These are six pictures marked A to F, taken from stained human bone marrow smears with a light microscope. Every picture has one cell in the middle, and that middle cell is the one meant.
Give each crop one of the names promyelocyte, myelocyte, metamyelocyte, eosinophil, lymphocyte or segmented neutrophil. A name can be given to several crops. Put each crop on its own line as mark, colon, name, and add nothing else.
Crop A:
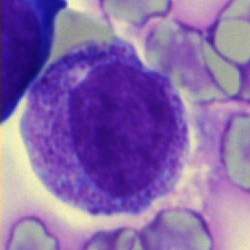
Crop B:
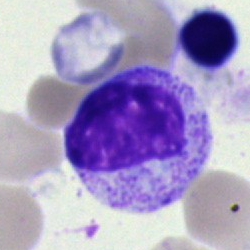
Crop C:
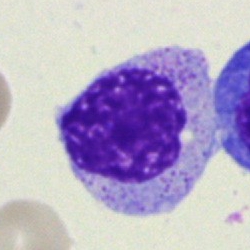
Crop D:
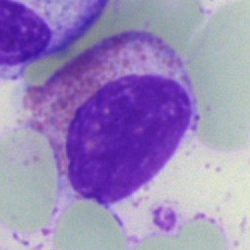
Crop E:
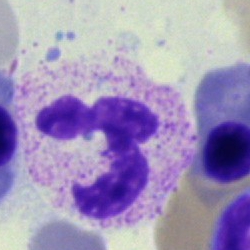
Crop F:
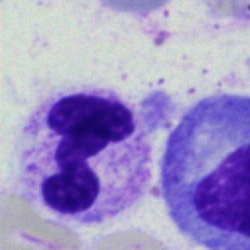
A: promyelocyte
B: metamyelocyte
C: myelocyte
D: eosinophil
E: segmented neutrophil
F: segmented neutrophil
